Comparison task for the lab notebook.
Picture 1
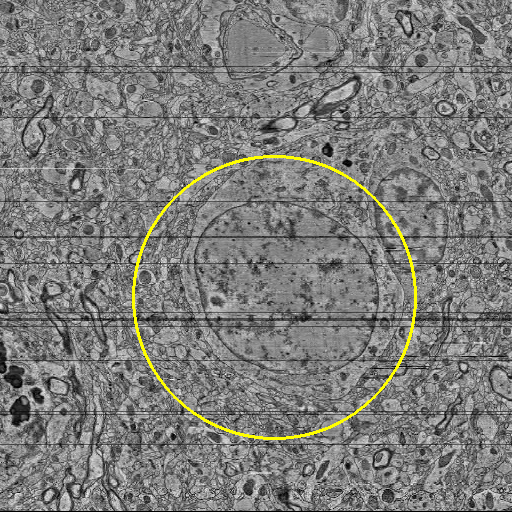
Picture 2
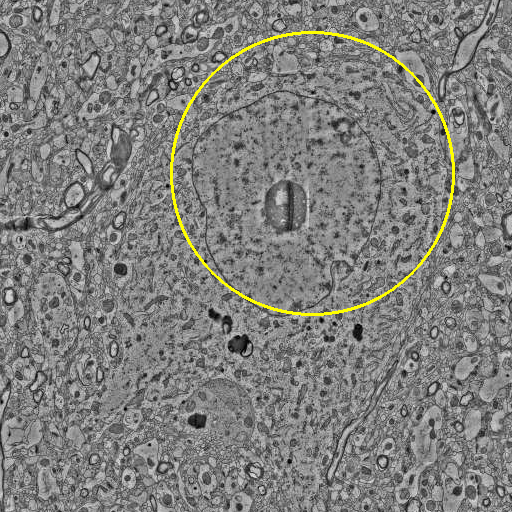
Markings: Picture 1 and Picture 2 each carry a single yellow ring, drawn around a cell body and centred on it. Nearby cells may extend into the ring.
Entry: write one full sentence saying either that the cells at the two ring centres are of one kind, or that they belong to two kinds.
The cells sitting at the ring centres in Picture 1 and Picture 2 are of one kind.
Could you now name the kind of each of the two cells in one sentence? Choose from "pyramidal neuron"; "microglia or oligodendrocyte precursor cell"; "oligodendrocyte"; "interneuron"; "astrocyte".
Each of the two cells is a pyramidal neuron.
